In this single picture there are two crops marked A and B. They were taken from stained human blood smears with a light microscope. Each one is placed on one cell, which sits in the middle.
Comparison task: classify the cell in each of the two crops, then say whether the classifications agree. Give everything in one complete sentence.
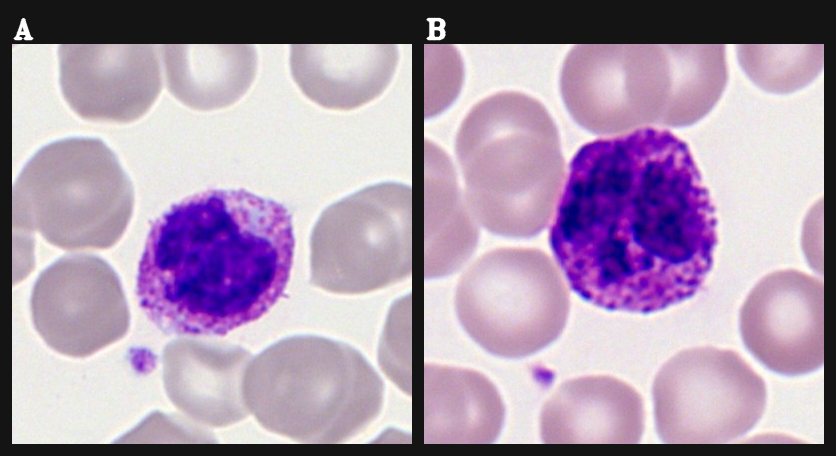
Yes, in the middle of both crops, basophils are shown.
